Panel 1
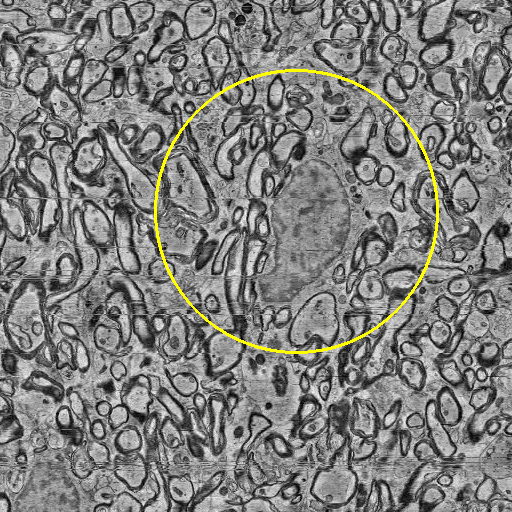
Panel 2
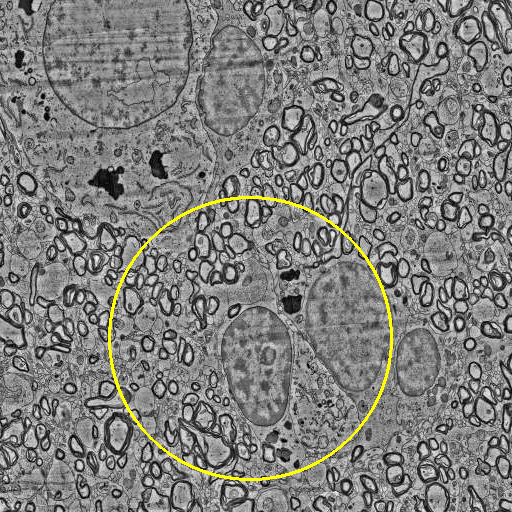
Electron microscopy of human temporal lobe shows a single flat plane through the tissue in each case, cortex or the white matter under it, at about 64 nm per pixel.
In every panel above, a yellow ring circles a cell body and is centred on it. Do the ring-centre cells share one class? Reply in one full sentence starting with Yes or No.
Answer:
No, the two cells at the ring centres in the panels belong to two classes.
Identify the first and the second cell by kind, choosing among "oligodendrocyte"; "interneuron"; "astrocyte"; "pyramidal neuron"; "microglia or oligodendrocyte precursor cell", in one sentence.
The one in the first picture is an oligodendrocyte, while the one in the second is a microglial cell or oligodendrocyte precursor cell.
